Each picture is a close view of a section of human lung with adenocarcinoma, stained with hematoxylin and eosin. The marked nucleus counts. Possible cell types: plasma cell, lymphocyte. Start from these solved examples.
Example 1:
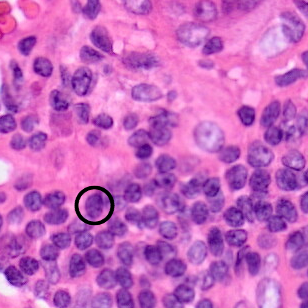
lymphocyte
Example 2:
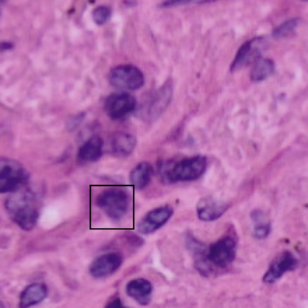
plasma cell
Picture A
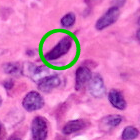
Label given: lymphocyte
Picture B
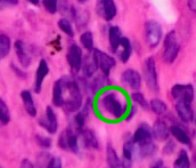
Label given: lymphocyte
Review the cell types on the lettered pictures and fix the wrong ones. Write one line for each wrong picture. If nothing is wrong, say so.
A: not lymphocyte but plasma cell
